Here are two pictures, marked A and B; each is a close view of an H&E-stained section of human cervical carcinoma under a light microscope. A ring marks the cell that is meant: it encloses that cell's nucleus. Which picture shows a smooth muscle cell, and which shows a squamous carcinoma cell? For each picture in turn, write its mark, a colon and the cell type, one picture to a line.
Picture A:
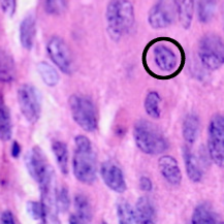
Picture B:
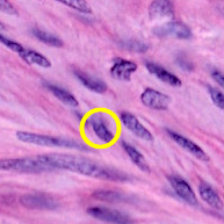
A: squamous carcinoma cell
B: smooth muscle cell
